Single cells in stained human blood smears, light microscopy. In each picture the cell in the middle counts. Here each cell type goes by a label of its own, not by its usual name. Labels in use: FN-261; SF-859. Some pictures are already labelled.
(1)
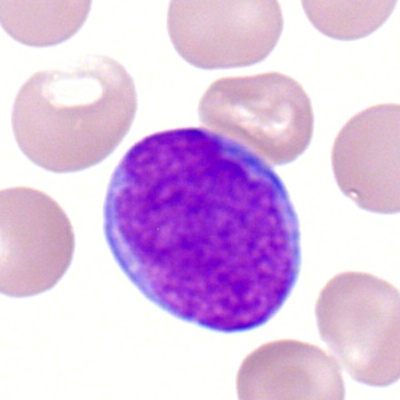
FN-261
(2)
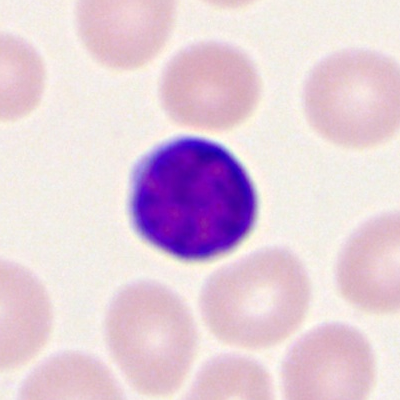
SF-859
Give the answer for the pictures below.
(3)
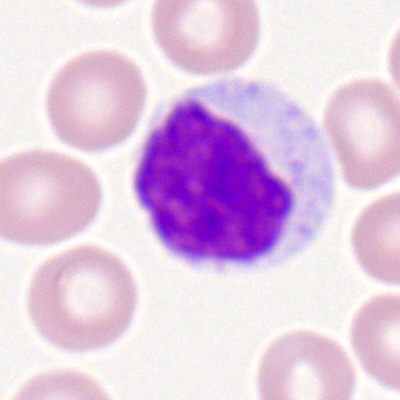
SF-859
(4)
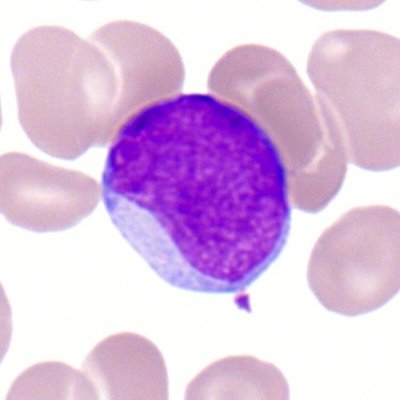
FN-261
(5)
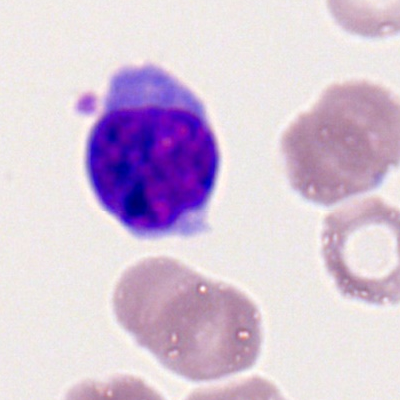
SF-859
